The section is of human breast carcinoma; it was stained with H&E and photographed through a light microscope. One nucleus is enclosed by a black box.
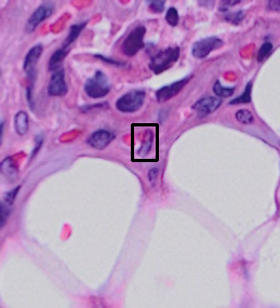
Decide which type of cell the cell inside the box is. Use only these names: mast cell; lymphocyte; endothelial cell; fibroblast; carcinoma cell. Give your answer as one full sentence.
In terms of identity, the cell inside the box is an endothelial cell.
